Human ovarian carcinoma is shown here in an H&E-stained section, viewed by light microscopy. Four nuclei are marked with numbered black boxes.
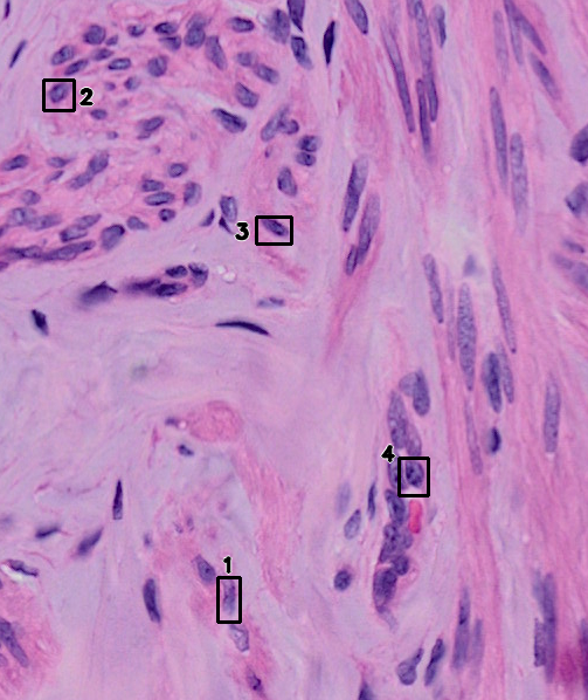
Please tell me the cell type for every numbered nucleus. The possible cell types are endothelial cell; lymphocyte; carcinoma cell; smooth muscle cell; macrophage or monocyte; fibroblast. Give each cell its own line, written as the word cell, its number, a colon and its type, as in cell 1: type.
cell 1: smooth muscle cell
cell 2: smooth muscle cell
cell 3: smooth muscle cell
cell 4: endothelial cell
